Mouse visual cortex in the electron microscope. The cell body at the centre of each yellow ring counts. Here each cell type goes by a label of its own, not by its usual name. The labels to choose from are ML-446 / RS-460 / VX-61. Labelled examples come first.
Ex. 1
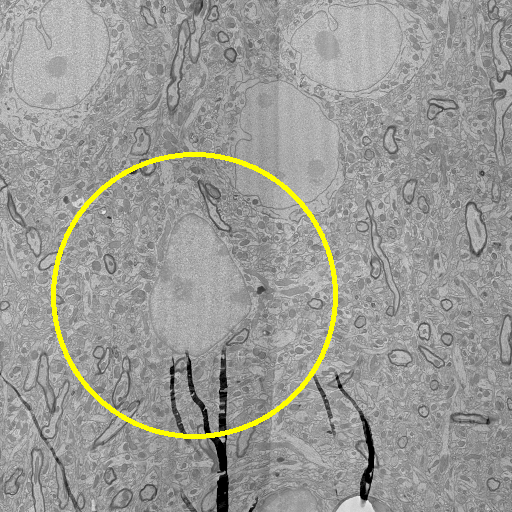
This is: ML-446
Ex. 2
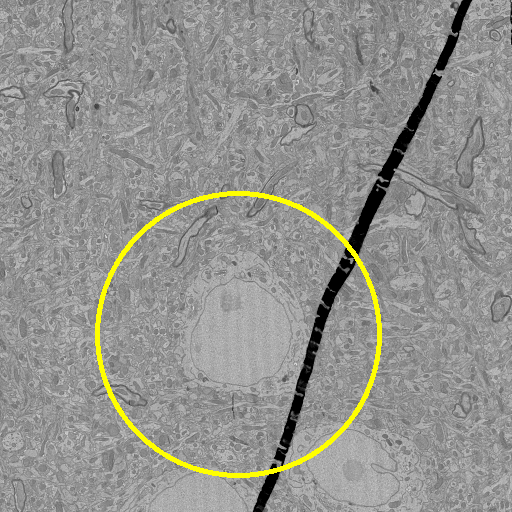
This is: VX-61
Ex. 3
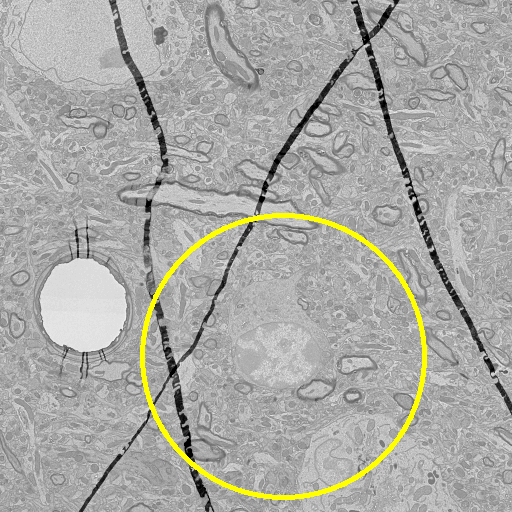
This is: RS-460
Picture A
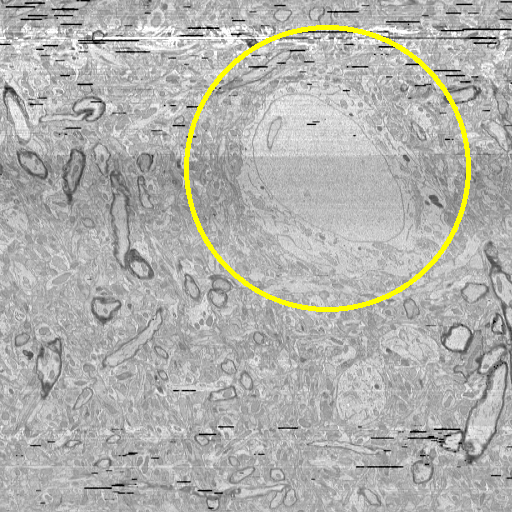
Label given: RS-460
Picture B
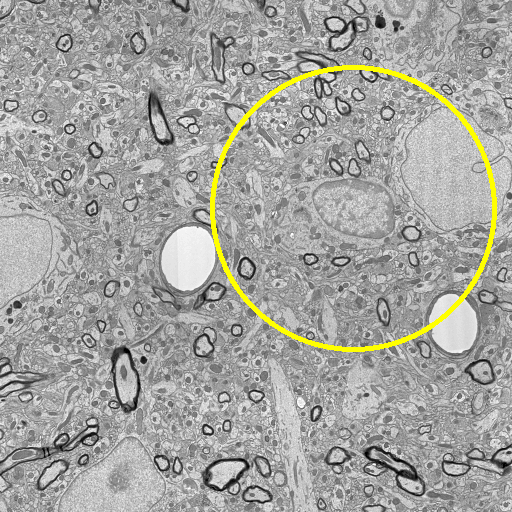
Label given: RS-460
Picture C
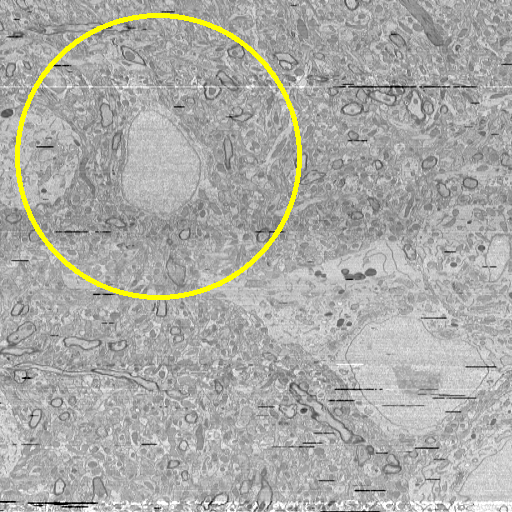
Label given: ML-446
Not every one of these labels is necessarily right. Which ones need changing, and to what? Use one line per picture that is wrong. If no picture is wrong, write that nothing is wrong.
A is labelled RS-460; correct label: VX-61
